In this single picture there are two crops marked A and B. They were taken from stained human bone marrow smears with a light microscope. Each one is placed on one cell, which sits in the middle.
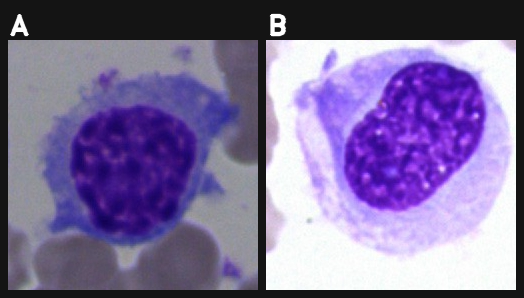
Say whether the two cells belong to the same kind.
yes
